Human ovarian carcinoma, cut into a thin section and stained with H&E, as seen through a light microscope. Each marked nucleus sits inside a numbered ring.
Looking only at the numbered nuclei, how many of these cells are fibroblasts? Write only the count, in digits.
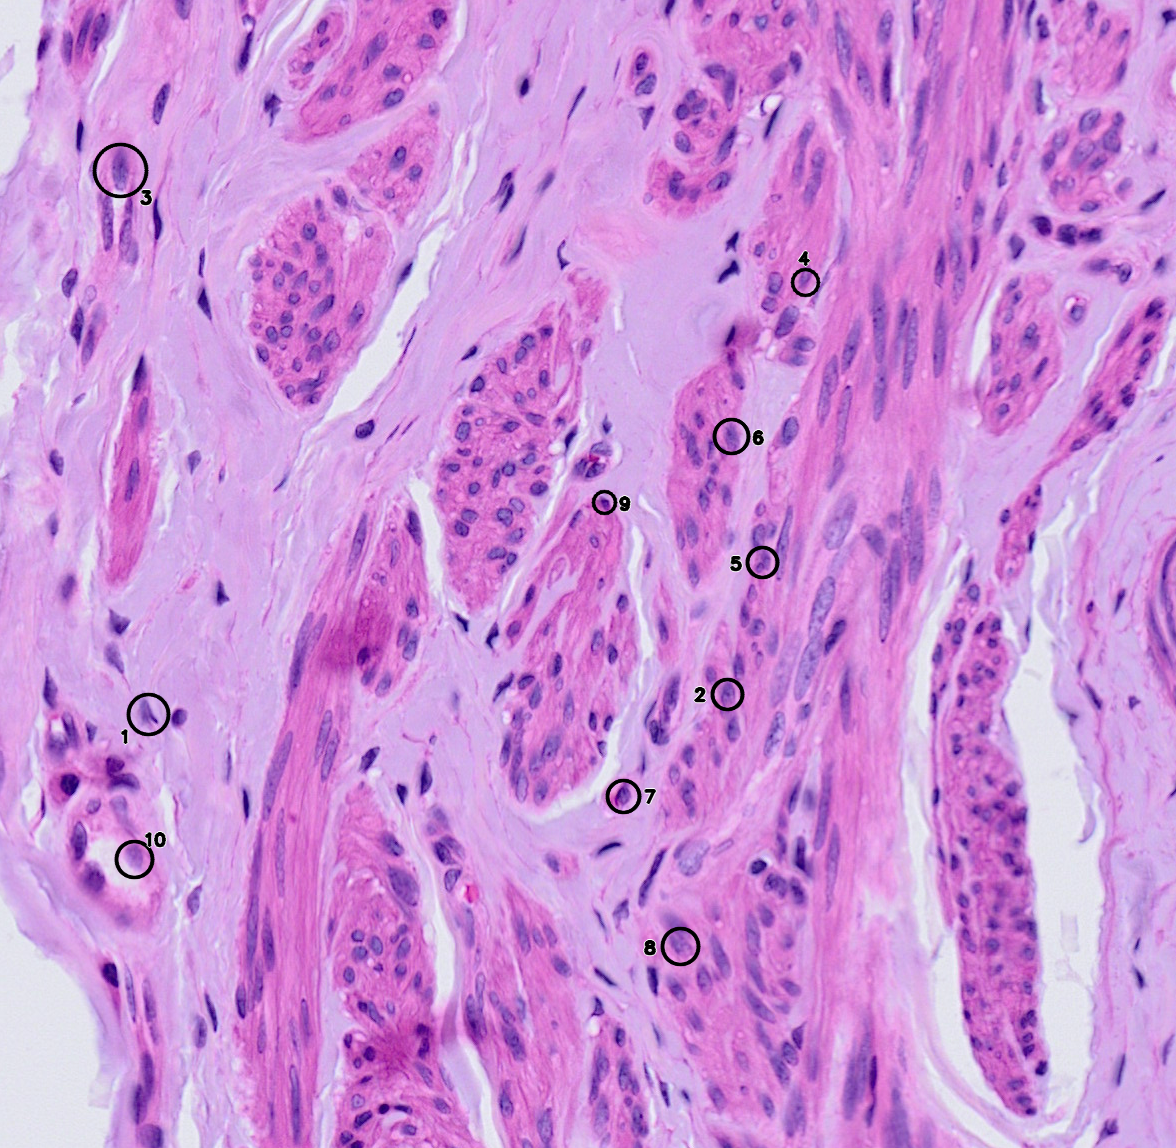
1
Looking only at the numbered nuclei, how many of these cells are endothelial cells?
3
